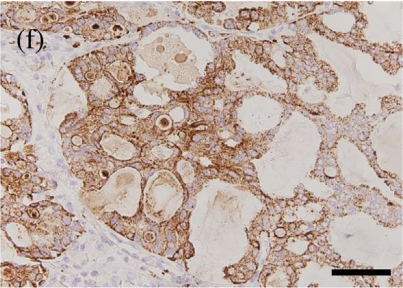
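Some small lumens contain brown-rimmed round bodies. At the edges, loose fibrous stroma with thin blue nuclei is unstained. The appearance is of a gland-forming epithelial tumor with abundant luminal secretion and intensely stained cytoplasm.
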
